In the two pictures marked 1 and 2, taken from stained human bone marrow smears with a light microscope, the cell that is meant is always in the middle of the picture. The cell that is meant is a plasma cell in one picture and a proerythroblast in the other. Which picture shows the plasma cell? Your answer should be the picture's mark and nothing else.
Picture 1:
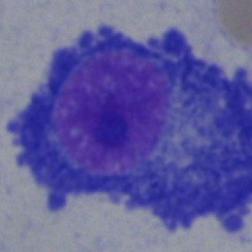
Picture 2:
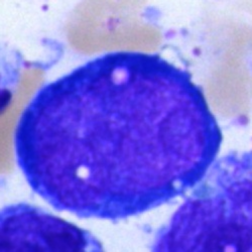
1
